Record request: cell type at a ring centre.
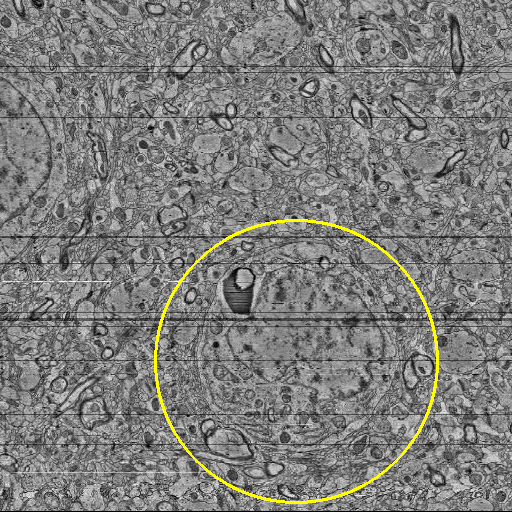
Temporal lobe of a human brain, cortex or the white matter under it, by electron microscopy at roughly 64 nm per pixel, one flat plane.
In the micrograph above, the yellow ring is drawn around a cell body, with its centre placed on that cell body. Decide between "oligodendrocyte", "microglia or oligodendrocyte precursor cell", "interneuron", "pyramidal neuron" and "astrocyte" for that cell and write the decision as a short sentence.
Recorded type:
The cell centred in the yellow ring is an interneuron.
